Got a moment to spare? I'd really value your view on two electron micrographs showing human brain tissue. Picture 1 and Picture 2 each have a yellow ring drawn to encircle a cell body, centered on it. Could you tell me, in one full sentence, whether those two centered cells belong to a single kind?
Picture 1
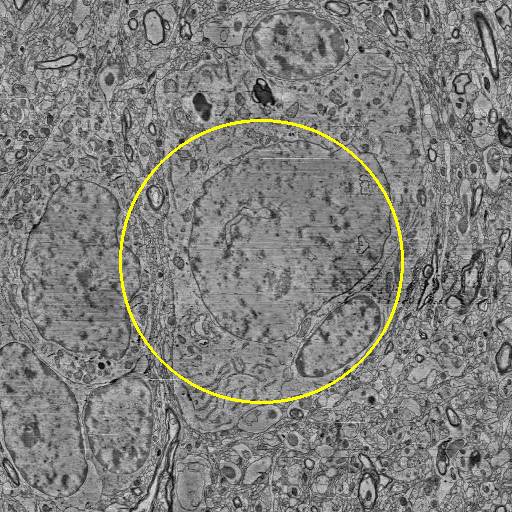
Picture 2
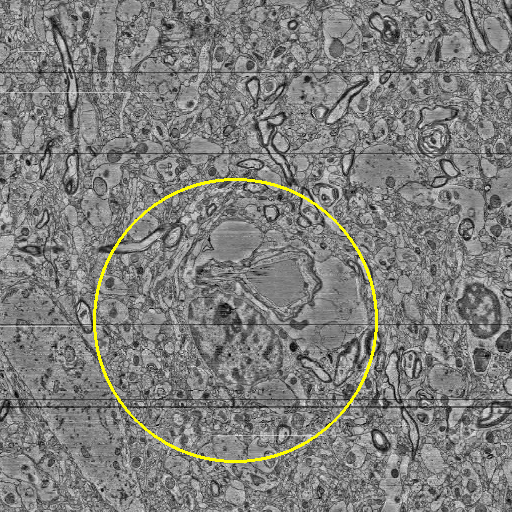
No, the two centered cells in Picture 1 and Picture 2 are of two kinds.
